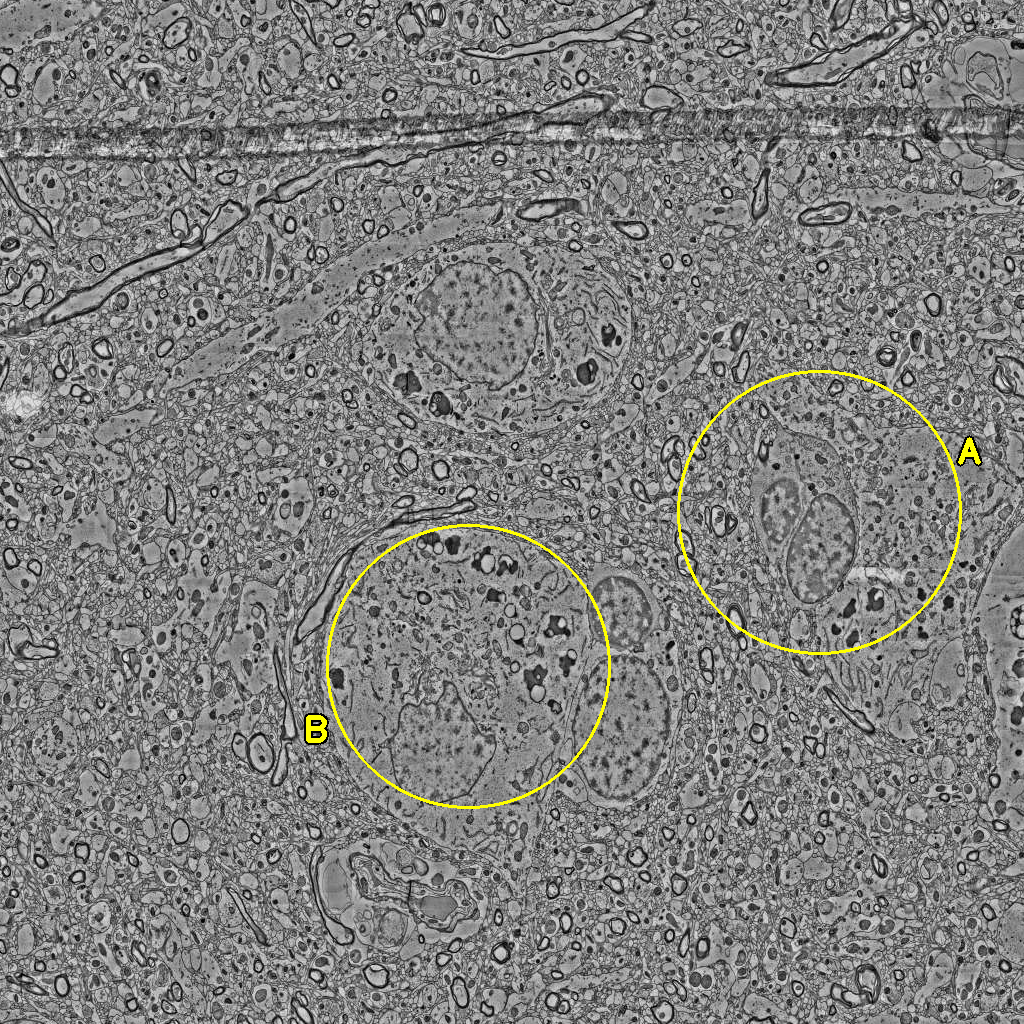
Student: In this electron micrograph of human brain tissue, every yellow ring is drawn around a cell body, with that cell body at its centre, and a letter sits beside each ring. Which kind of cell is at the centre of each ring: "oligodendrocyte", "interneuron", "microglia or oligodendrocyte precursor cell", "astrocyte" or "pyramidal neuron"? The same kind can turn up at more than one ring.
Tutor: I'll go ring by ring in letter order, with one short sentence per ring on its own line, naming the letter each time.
Ring A: the cell at its centre is an oligodendrocyte.
Ring B: the cell at its centre is a pyramidal neuron.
